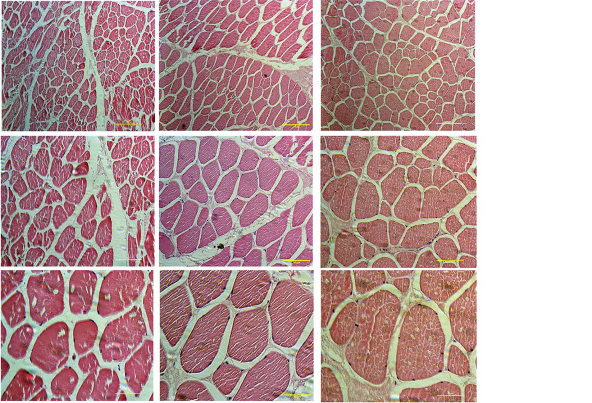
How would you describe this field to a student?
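These are cross-sections of skeletal muscle in which the muscle fibers appear as large, closely packed, polygonal profiles with pink-red cytoplasm. Thin pale strands of connective tissue separate the individual fibers, and wider pale septa gather them into bundles. The same arrangement is shown at three increasing magnifications, with the fibers appearing larger at the higher ones.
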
